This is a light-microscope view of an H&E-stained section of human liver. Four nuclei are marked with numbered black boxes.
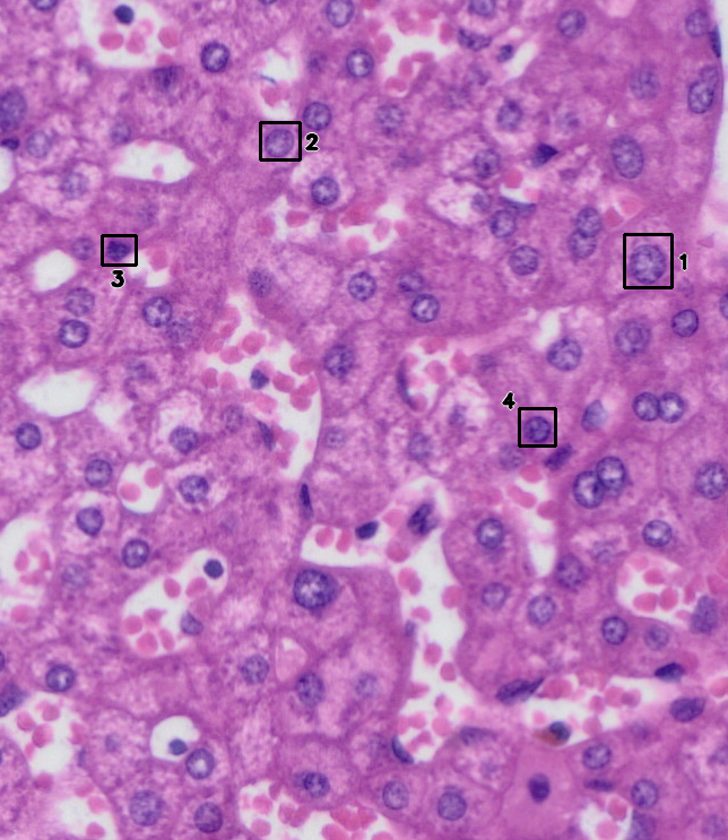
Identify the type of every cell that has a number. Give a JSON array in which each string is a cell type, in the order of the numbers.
["hepatocyte", "hepatocyte", "fibroblast or stellate cell", "hepatocyte"]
